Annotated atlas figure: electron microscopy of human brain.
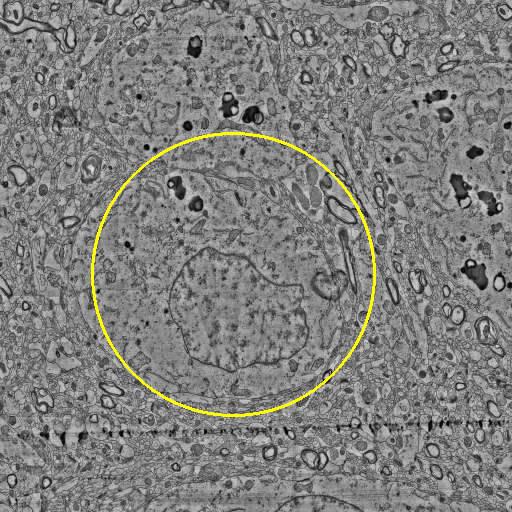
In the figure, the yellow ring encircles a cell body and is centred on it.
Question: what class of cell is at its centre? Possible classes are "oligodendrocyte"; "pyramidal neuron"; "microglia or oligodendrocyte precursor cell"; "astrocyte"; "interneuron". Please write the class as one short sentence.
The yellow ring is drawn around a pyramidal neuron.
